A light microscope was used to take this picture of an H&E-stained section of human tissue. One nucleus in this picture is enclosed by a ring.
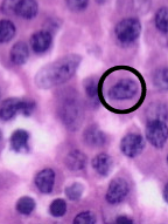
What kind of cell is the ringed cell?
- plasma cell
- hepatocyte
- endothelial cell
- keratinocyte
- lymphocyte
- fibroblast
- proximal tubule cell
plasma cell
